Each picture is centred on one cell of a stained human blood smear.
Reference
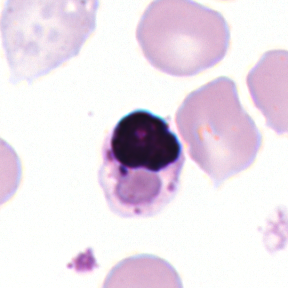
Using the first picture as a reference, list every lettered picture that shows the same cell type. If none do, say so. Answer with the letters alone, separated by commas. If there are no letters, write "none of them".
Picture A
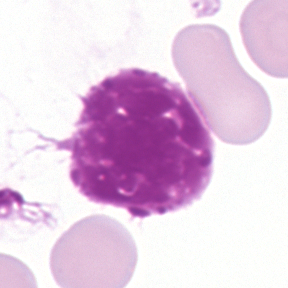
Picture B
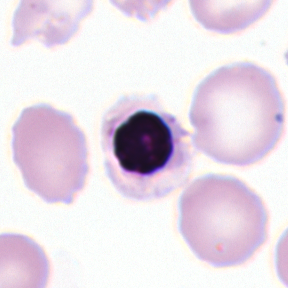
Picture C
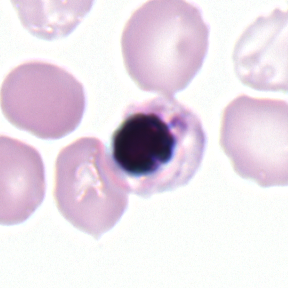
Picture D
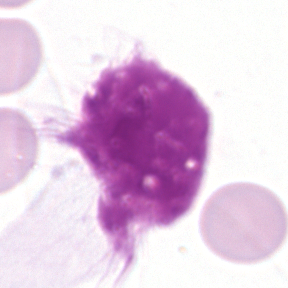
B, C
